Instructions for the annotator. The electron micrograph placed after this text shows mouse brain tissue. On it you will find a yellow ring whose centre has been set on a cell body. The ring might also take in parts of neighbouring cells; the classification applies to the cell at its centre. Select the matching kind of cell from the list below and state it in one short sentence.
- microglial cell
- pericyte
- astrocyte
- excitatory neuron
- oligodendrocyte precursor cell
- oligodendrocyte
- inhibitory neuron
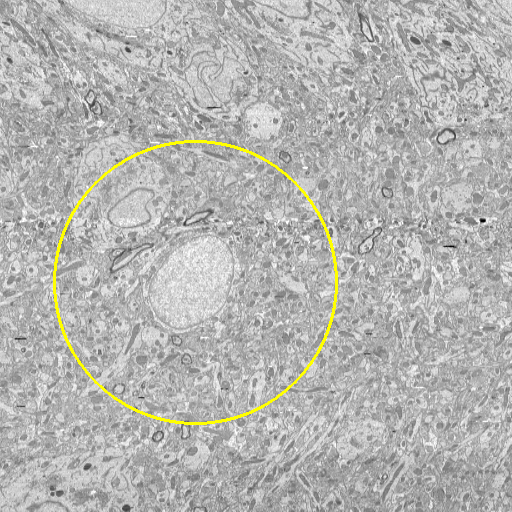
The ring is drawn on the cell body of an astrocyte.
